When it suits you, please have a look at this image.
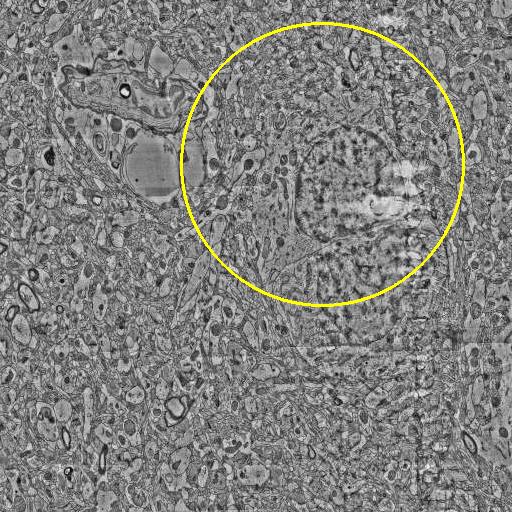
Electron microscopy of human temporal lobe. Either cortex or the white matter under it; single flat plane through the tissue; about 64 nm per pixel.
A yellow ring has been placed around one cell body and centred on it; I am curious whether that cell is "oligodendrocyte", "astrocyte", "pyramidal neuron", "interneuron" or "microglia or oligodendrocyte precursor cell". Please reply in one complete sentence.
The ringed cell, a microglial cell or oligodendrocyte precursor cell, has its body at the centre of the yellow ring.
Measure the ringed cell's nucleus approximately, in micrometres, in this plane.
About 7 micrometers across, in this plane.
